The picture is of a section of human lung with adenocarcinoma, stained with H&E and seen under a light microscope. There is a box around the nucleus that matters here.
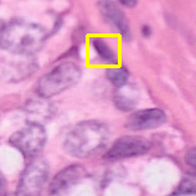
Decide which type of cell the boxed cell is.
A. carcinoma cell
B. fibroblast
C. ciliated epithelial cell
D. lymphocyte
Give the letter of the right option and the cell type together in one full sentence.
Best answer: option C, with the boxed cell being a ciliated epithelial cell.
